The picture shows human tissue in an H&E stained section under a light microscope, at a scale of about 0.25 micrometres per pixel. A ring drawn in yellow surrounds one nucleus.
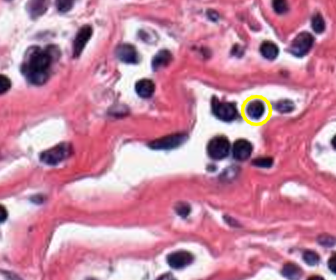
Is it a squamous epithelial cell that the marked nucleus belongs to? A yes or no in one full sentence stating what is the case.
No, the marked nucleus is assigned not to a squamous epithelial cell but to a supporting cell.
